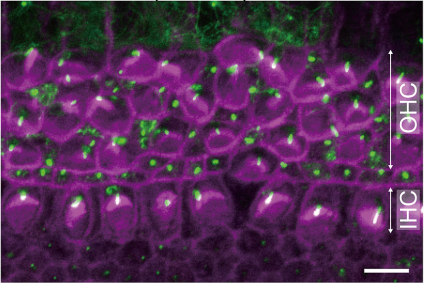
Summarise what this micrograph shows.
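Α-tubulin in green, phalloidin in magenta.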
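Surface view of a cochlear sensory epithelium with magenta-outlined rounded cell apices in three upper rows and one lower row. The upper rows are less evenly spaced, and many apices show only short green dots rather than distinct rods. The cells of the lower row each carry a bright green-white rod. Green dots are scattered among the cells, and diffuse green lies along the top edge of the field.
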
